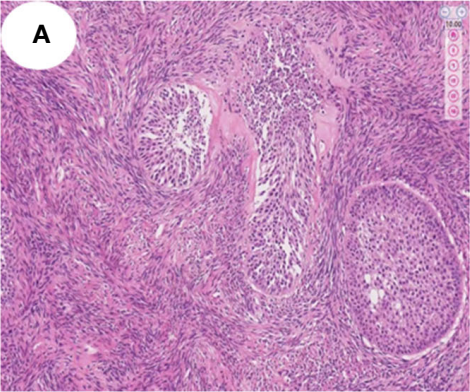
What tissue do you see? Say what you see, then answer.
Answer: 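Densely packed spindle cells surround the nests. Spindle cells run in streaming, swirling bundles.
Hence: dense fibrous stroma.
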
